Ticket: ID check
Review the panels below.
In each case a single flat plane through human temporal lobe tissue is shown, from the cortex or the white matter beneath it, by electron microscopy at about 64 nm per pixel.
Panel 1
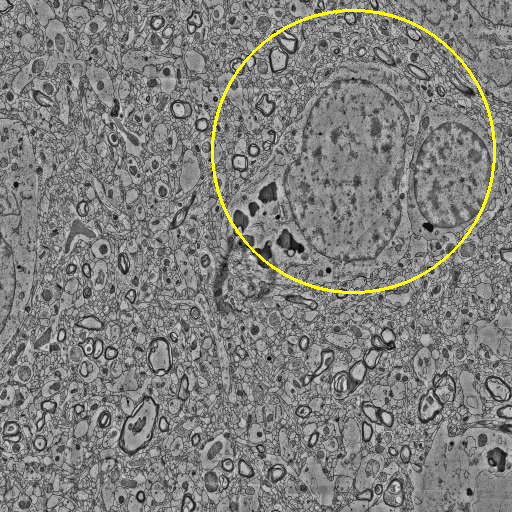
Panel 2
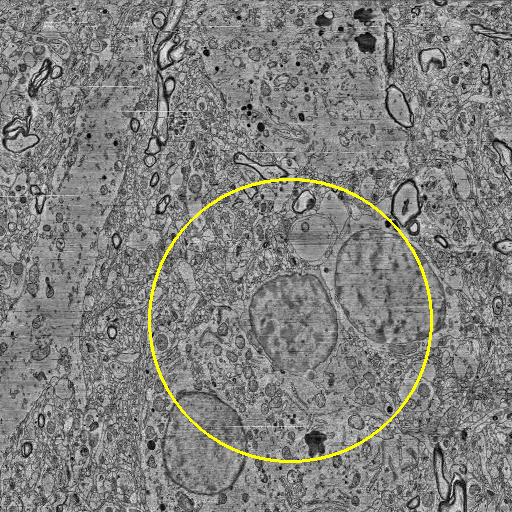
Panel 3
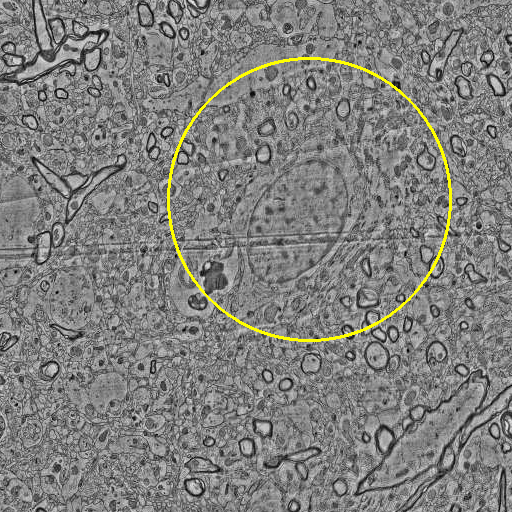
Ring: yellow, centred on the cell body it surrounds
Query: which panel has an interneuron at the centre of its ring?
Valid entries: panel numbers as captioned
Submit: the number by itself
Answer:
1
